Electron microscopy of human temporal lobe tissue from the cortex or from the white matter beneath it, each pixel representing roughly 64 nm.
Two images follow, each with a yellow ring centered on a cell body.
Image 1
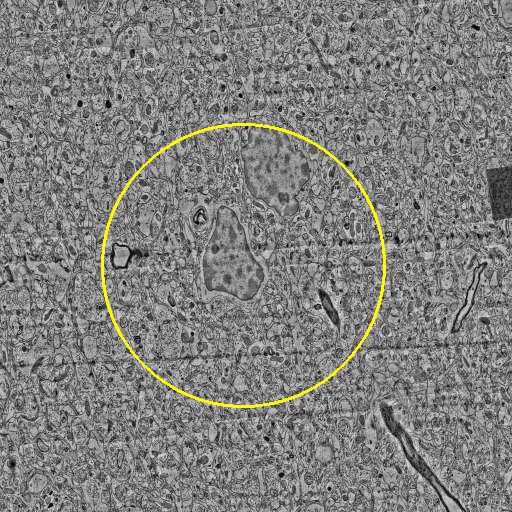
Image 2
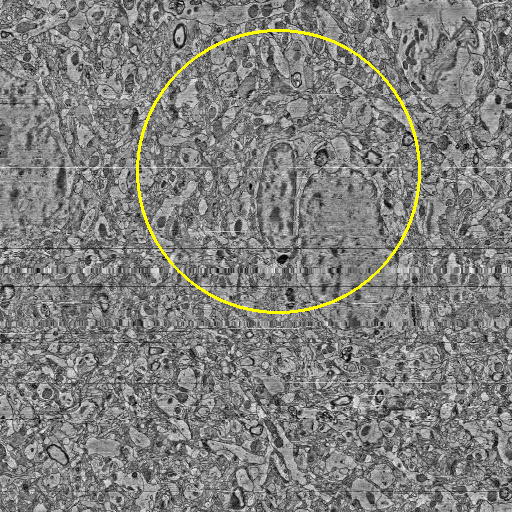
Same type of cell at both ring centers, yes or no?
yes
